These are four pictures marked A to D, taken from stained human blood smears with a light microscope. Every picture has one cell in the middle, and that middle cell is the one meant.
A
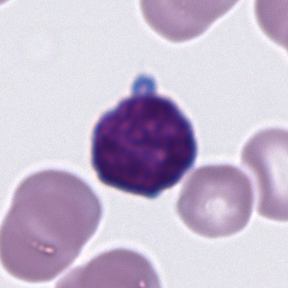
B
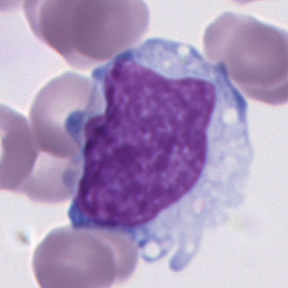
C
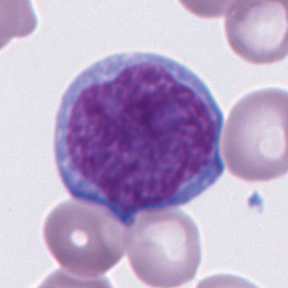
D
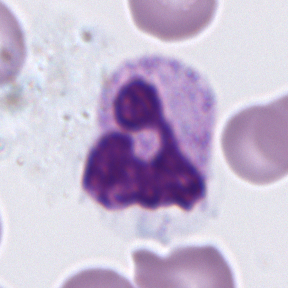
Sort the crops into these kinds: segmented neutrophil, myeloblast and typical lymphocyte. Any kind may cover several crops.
A: typical lymphocyte
B: myeloblast
C: myeloblast
D: segmented neutrophil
